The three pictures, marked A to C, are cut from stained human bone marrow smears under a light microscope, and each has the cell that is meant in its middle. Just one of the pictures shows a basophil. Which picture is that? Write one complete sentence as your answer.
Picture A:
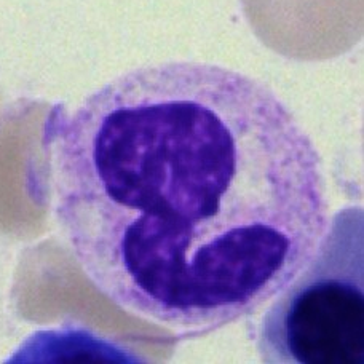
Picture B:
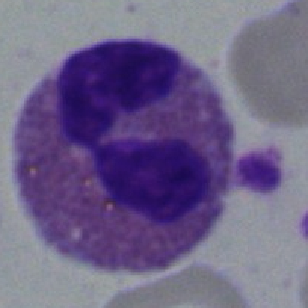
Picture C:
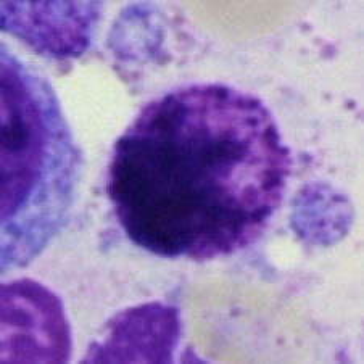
Picture C is the one that shows the basophil.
